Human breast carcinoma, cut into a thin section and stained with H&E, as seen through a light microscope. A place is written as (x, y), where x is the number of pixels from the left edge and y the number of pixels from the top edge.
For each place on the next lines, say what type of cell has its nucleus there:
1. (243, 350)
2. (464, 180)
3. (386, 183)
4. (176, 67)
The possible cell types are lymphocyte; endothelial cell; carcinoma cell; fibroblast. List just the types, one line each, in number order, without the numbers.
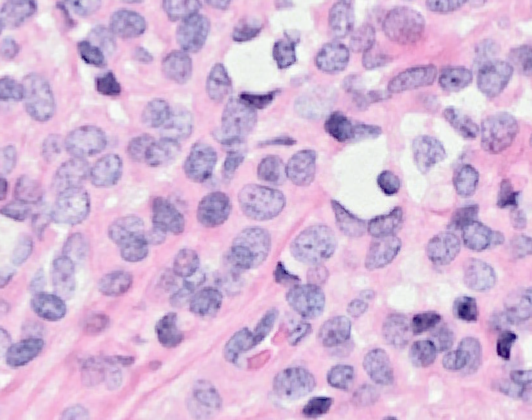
endothelial cell
carcinoma cell
carcinoma cell
carcinoma cell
